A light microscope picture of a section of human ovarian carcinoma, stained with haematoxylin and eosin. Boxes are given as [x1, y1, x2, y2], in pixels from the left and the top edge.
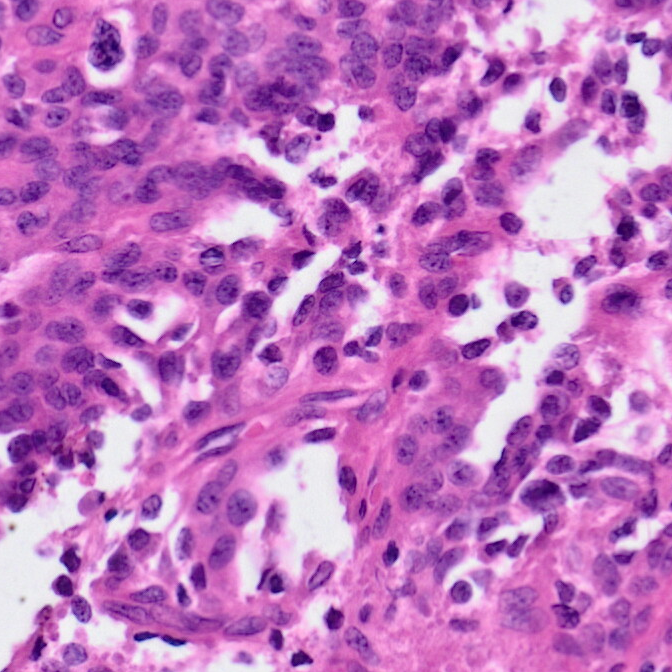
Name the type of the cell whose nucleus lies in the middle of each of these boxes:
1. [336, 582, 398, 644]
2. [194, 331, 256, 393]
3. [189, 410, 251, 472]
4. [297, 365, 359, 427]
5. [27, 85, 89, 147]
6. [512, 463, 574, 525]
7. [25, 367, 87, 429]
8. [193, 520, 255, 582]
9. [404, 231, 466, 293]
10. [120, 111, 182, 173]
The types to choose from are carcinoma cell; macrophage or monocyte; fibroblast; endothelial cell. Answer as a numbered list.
1. macrophage or monocyte
2. carcinoma cell
3. endothelial cell
4. endothelial cell
5. macrophage or monocyte
6. carcinoma cell
7. carcinoma cell
8. carcinoma cell
9. endothelial cell
10. carcinoma cell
